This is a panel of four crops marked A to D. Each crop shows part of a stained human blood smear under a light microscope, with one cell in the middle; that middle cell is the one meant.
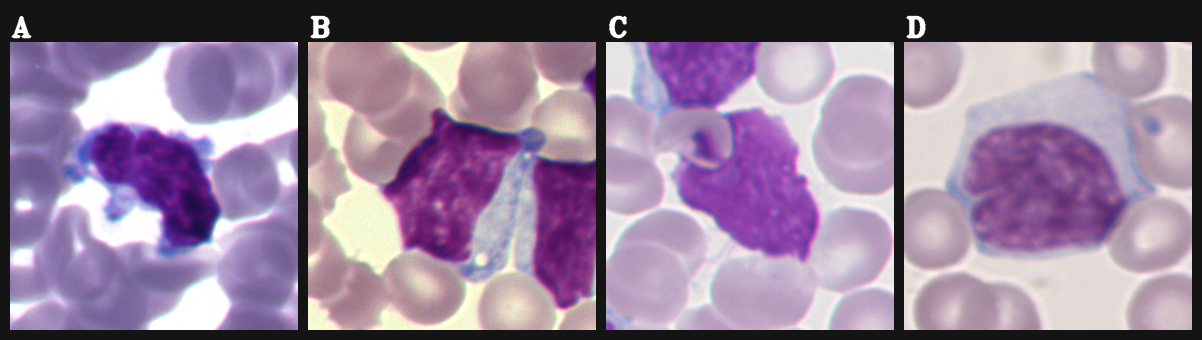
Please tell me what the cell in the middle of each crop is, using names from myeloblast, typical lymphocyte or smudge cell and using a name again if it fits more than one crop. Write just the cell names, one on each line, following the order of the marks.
typical lymphocyte
typical lymphocyte
smudge cell
myeloblast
